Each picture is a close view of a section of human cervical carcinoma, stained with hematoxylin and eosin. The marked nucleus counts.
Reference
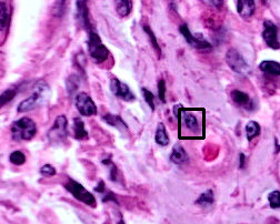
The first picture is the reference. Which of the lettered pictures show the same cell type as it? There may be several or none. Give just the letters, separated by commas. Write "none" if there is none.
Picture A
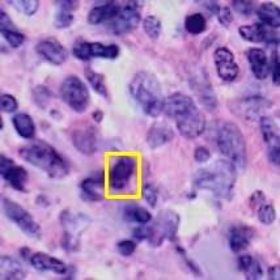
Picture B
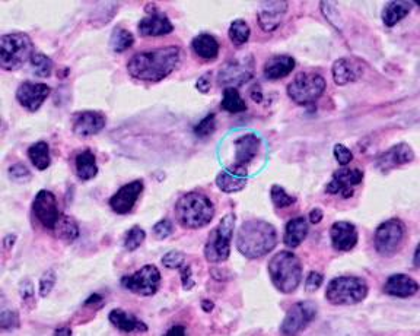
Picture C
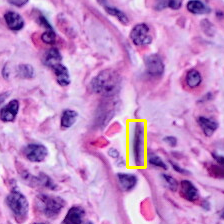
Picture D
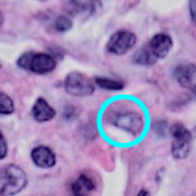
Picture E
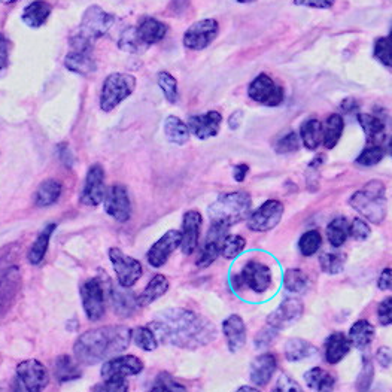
C, D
